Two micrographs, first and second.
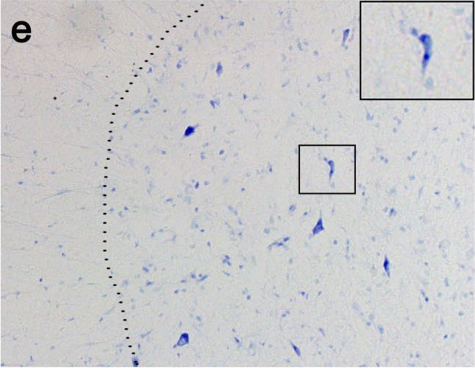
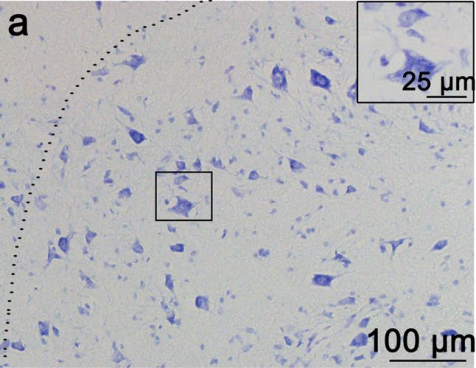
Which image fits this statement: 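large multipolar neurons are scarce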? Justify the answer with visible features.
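The first image. First image: only a few cell bodies, mostly small, dark and shrunken, with no field of large polygonal neurons. Second image: many large blue-stained polygonal neurons scattered across the grey matter.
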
